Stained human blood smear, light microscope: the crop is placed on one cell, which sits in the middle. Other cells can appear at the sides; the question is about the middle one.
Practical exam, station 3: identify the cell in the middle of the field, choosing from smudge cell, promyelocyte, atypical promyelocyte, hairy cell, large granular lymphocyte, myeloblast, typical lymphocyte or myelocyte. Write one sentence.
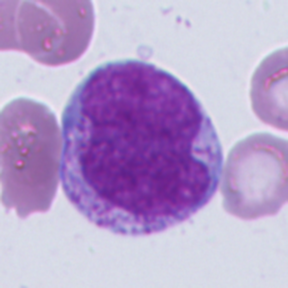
Among the cells in view, the one in the middle is a promyelocyte.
